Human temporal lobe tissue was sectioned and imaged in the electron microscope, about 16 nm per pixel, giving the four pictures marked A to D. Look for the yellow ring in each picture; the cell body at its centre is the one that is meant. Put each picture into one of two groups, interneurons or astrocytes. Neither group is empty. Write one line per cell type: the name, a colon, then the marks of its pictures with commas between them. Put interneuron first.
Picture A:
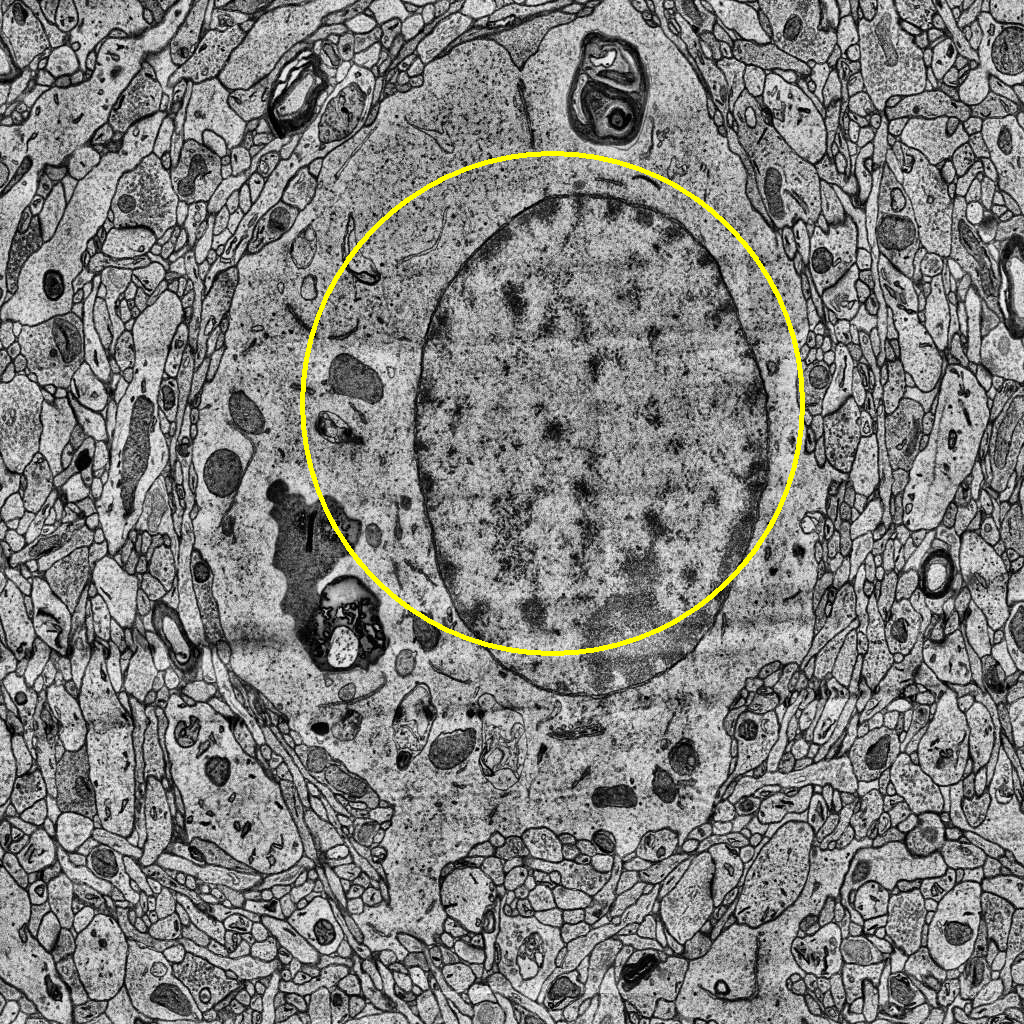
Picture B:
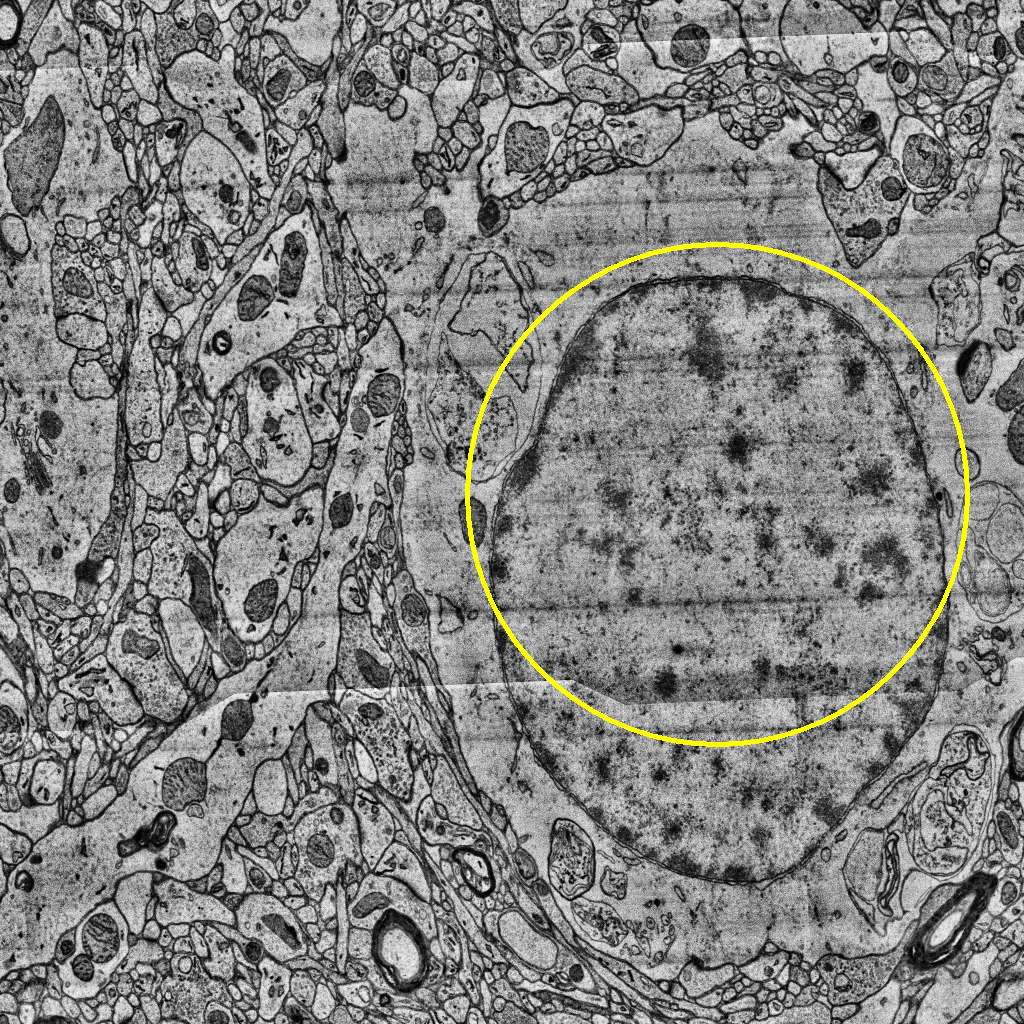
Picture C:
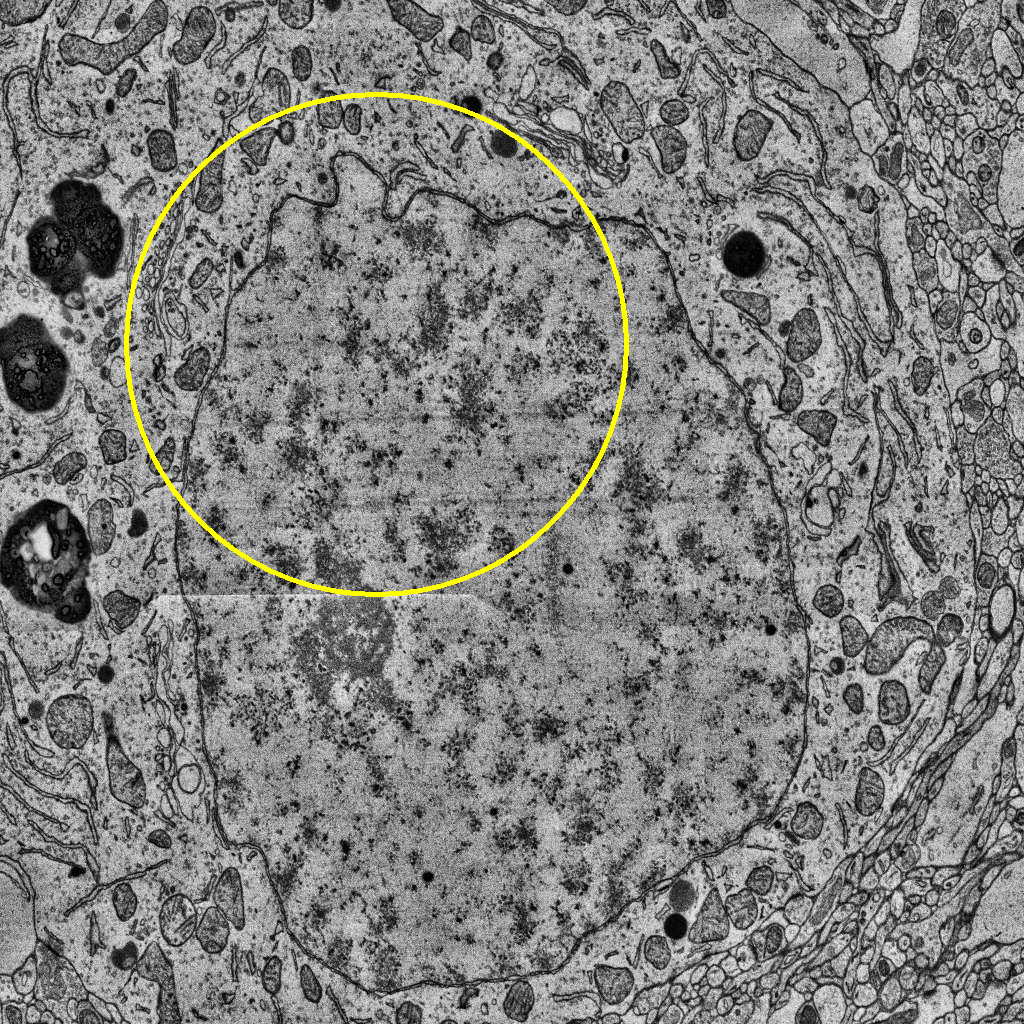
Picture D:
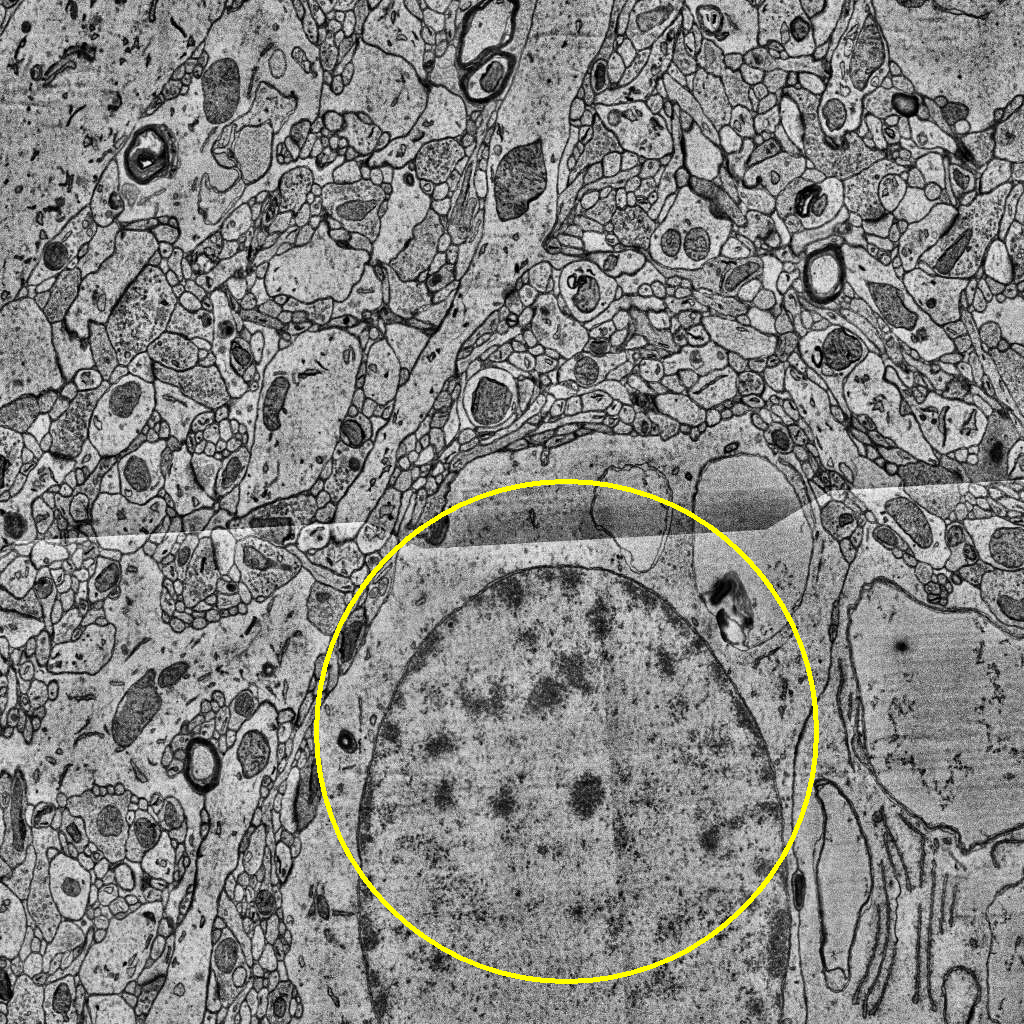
interneuron: C
astrocyte: A, B, D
